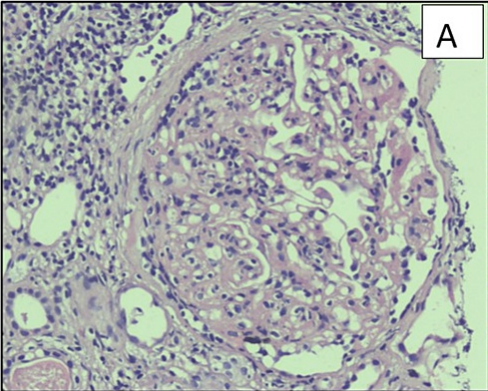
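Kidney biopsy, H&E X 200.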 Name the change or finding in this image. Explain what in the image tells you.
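The glomerular tuft is crowded with many nuclei. The tuft fills most of Bowman's space. So: endocapillary proliferation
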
